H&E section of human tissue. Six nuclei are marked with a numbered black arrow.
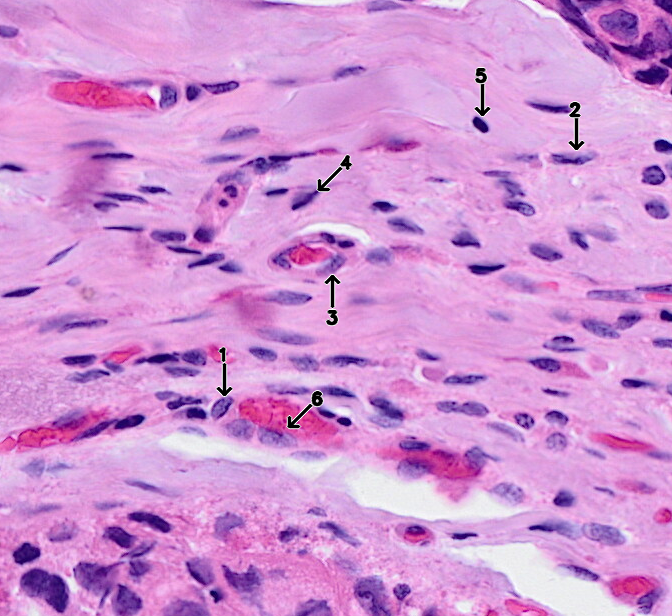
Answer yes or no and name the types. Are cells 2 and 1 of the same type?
No, here cell 2 is a fibroblast, whereas cell 1 is an endothelial cell.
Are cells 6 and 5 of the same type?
No, cell 6 counts as an endothelial cell, and cell 5 counts as a lymphocyte.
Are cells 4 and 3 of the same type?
No, rather, cell 4 is a fibroblast and cell 3 is an endothelial cell.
